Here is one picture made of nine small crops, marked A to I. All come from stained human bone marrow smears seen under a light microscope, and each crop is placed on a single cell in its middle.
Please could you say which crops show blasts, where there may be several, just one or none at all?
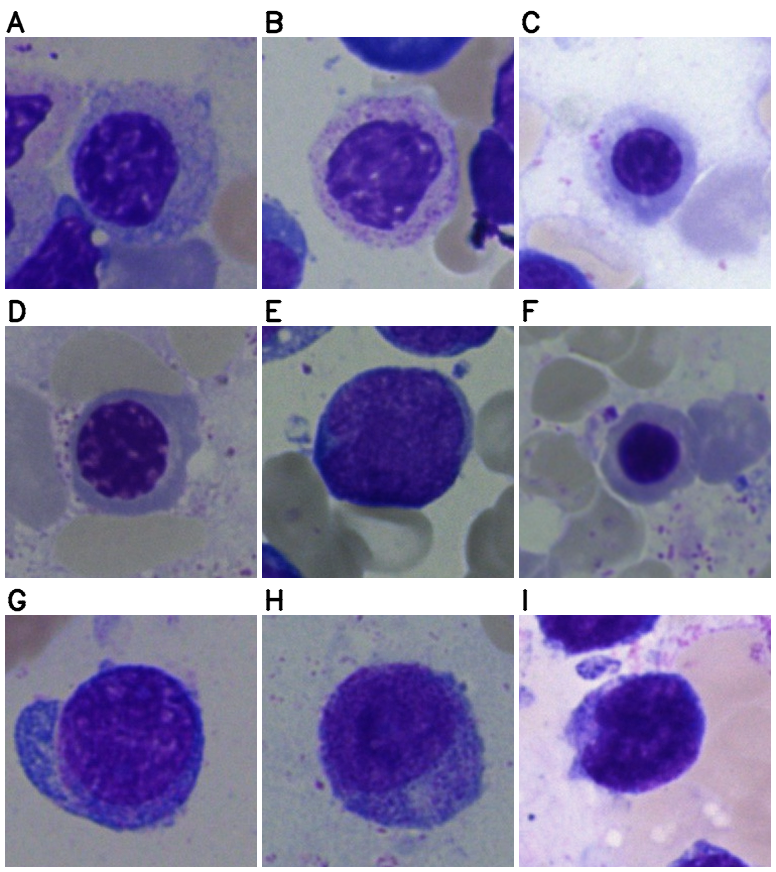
E, G, I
